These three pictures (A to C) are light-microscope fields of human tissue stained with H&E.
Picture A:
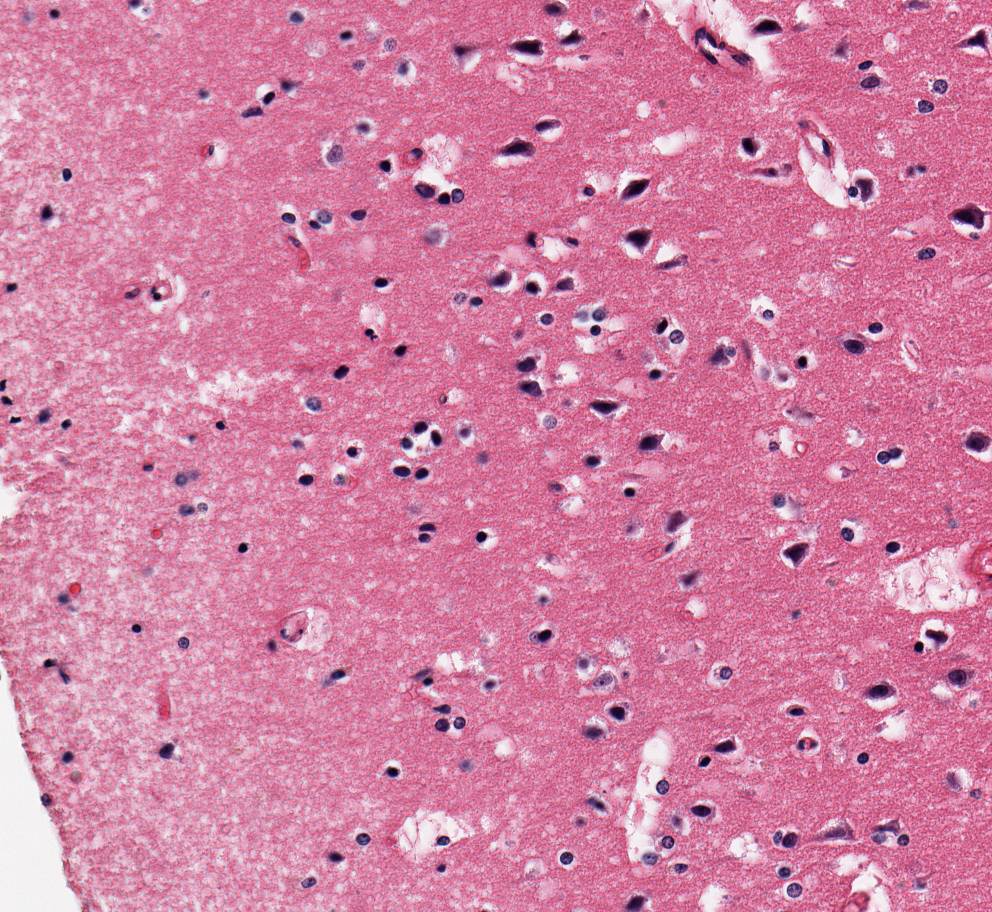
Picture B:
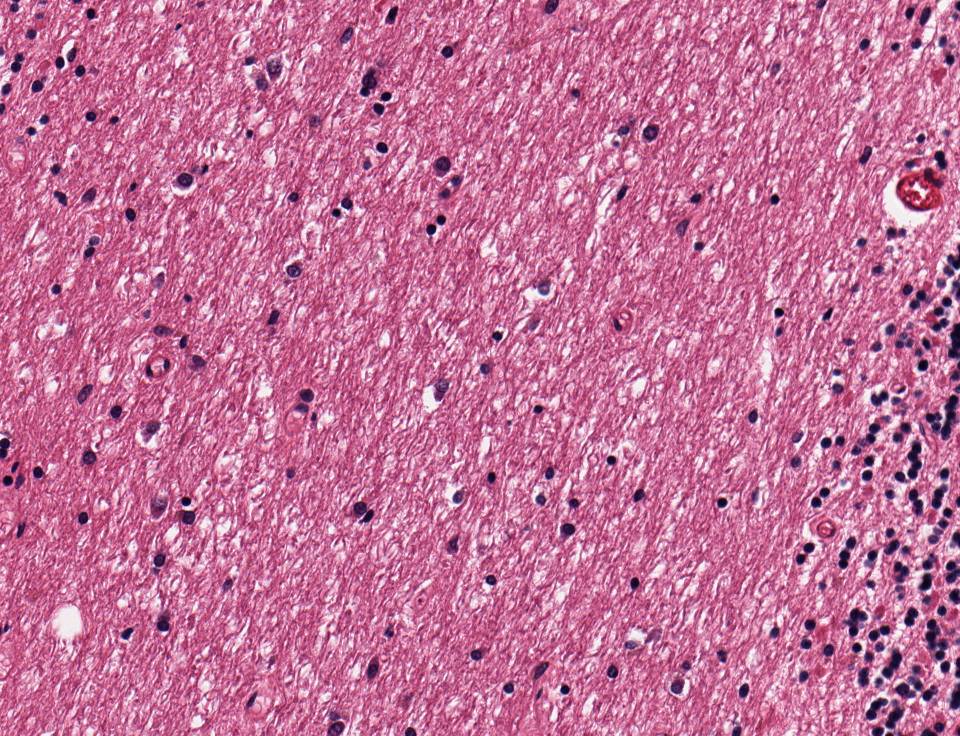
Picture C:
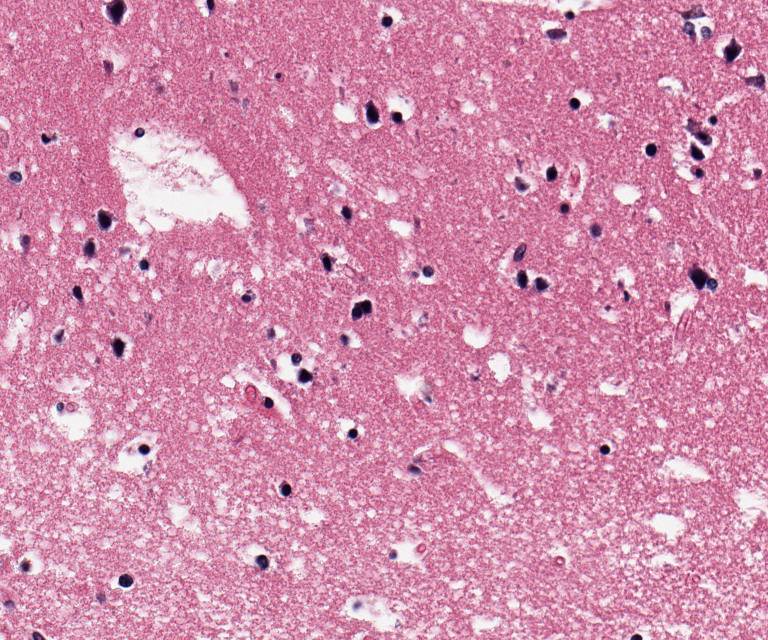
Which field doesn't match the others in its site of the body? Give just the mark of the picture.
B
